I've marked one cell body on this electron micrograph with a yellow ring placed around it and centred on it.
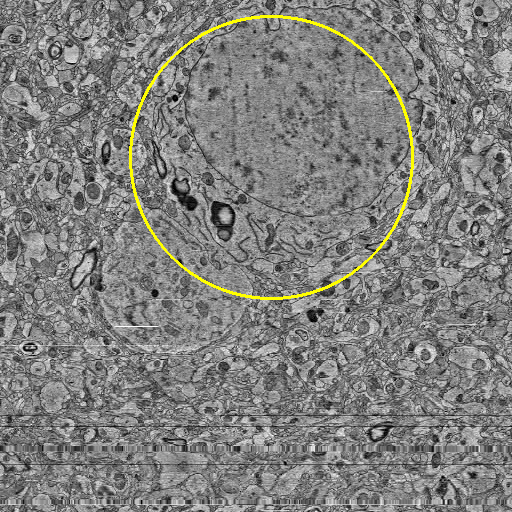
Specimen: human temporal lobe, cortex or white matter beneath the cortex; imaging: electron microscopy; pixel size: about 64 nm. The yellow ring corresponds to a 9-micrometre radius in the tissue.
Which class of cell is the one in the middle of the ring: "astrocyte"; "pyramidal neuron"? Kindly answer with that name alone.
pyramidal neuron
